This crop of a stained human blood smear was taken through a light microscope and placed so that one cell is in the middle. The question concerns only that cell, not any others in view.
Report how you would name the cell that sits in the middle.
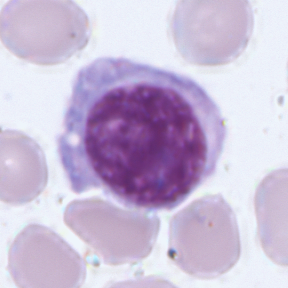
plasma cell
